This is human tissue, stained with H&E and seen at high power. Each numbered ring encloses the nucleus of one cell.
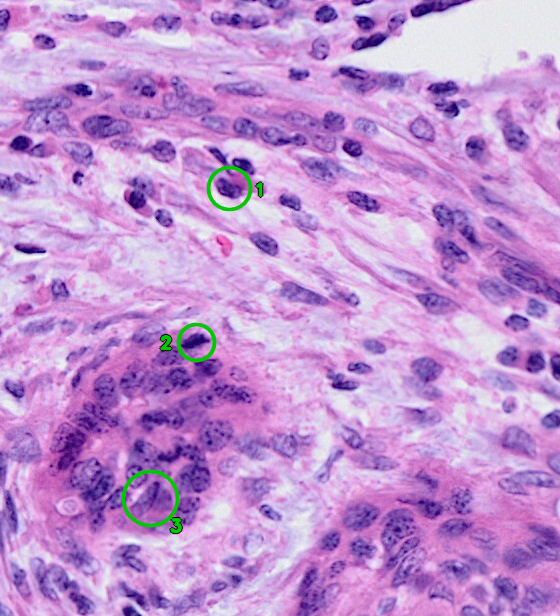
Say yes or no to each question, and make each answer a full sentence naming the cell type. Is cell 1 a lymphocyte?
Yes, regarding number 1, the cell is a lymphocyte.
